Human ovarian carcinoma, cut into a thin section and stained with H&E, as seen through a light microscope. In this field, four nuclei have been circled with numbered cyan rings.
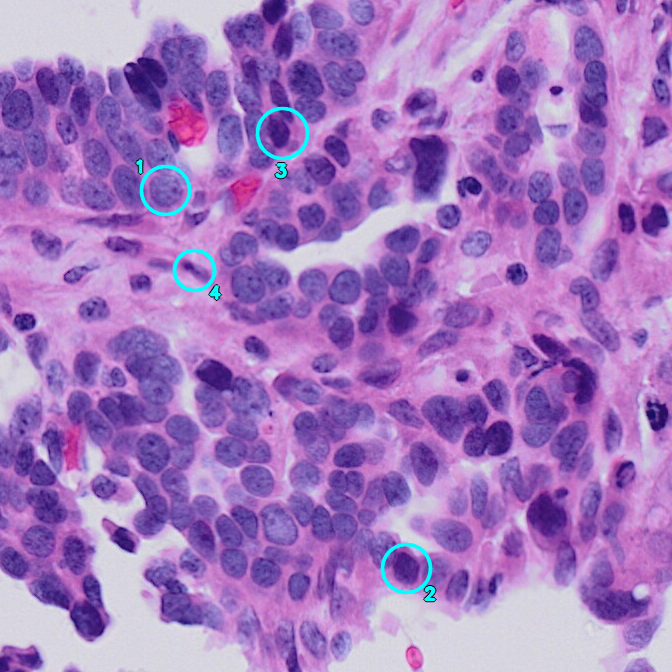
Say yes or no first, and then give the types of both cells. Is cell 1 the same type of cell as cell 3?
Yes, cell number 1 and cell number 3 are both carcinoma cells.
